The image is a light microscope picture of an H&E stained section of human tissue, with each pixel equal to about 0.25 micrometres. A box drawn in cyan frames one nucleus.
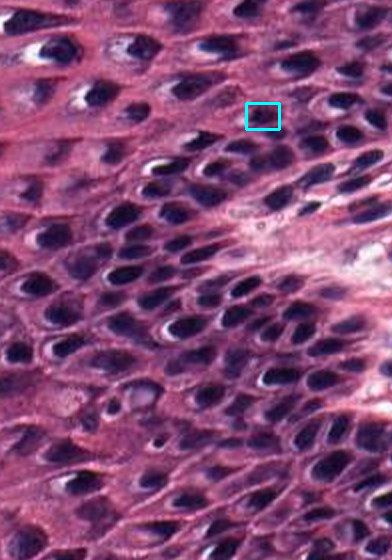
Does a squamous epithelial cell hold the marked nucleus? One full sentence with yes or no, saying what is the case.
Yes, to a squamous epithelial cell belongs the marked nucleus.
